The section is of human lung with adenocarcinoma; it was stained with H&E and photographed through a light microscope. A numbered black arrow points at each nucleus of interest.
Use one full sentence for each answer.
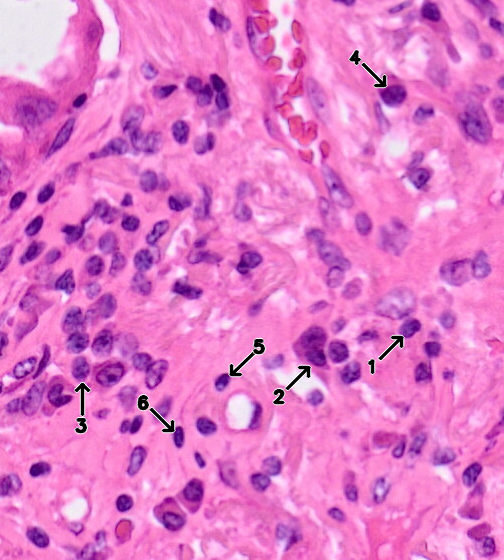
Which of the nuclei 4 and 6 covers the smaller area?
With nucleus 4 about 2 times its size, nucleus 6 is the smaller of the two.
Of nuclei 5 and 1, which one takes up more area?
It is nucleus 1, which covers about 1.5 times the area of nucleus 5.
